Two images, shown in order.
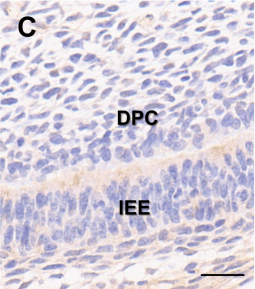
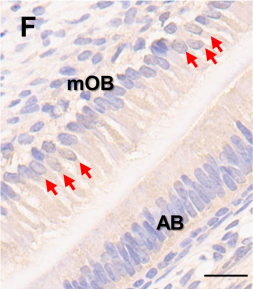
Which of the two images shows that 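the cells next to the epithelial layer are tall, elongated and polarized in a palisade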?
The second image.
